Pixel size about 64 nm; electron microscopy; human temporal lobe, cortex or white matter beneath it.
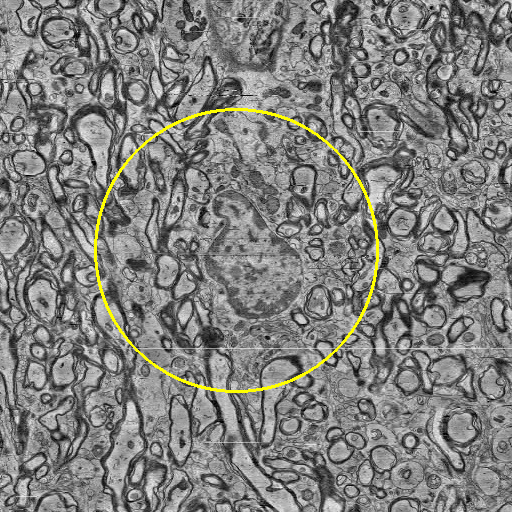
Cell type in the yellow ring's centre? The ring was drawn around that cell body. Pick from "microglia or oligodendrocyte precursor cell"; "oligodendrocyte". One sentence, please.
The ringed cell body is that of a microglial cell or oligodendrocyte precursor cell.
